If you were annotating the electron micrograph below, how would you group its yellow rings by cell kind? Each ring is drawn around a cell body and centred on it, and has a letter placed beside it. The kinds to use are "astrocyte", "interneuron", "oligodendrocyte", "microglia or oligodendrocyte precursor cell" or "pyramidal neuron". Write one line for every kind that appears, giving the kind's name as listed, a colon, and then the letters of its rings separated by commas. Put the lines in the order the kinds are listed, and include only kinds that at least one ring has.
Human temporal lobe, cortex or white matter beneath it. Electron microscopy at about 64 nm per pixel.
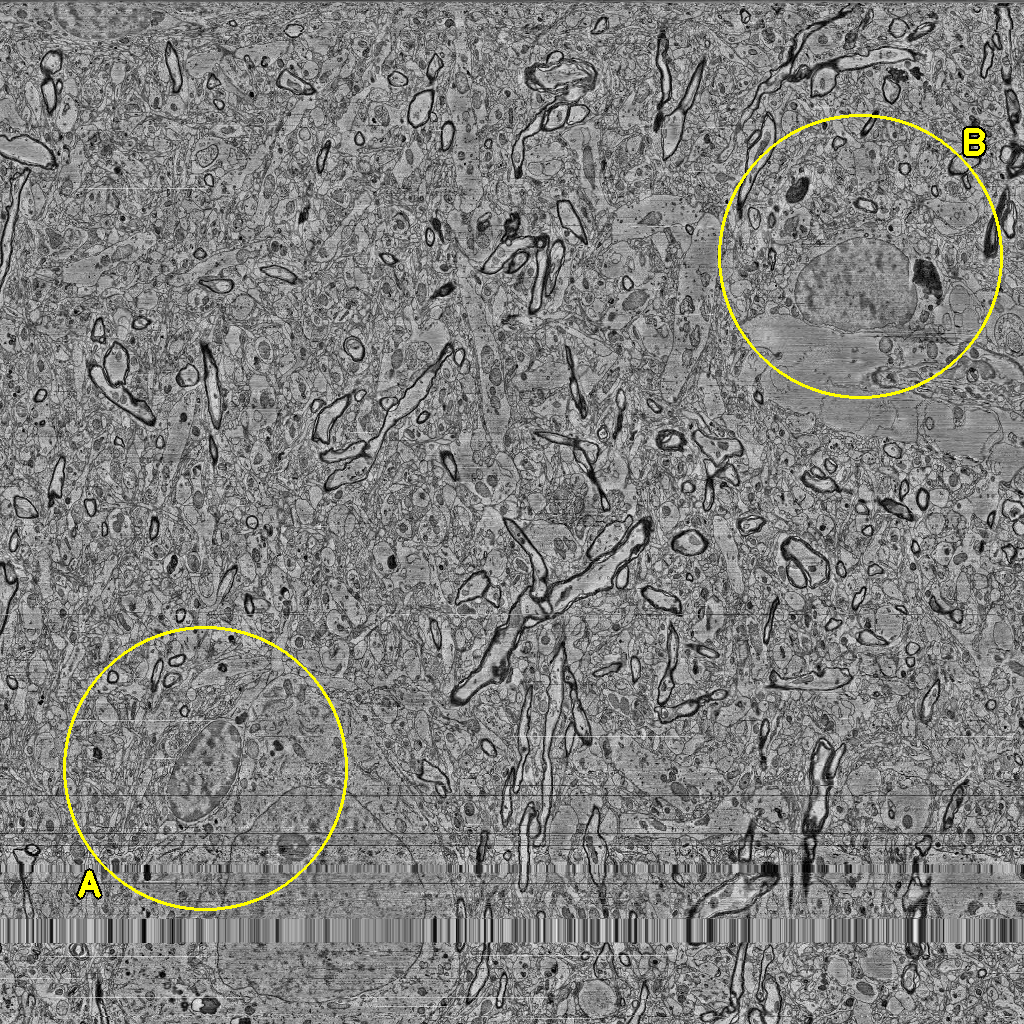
oligodendrocyte: B
microglia or oligodendrocyte precursor cell: A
